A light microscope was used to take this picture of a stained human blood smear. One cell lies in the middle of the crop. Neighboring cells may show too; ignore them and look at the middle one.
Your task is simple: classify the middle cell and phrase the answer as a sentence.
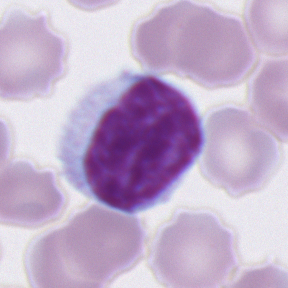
The cell found in the middle of this crop is a lymphocyte.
